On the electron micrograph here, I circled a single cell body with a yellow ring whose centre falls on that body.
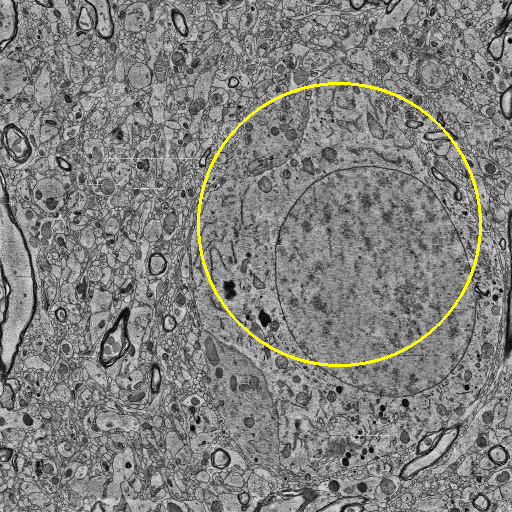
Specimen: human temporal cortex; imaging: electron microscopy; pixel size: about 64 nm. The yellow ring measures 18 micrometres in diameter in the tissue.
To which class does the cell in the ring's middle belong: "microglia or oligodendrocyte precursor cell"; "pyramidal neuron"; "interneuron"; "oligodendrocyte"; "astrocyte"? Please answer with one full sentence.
In this picture, the cell body circled at the ring's centre belongs to a pyramidal neuron.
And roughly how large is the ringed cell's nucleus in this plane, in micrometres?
In this plane the nucleus measures roughly 16 by 13 micrometres.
